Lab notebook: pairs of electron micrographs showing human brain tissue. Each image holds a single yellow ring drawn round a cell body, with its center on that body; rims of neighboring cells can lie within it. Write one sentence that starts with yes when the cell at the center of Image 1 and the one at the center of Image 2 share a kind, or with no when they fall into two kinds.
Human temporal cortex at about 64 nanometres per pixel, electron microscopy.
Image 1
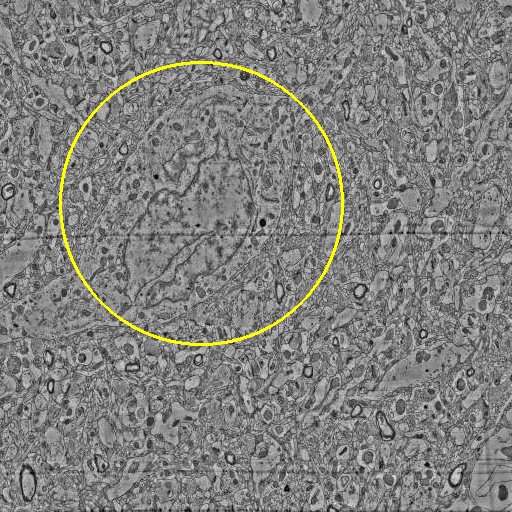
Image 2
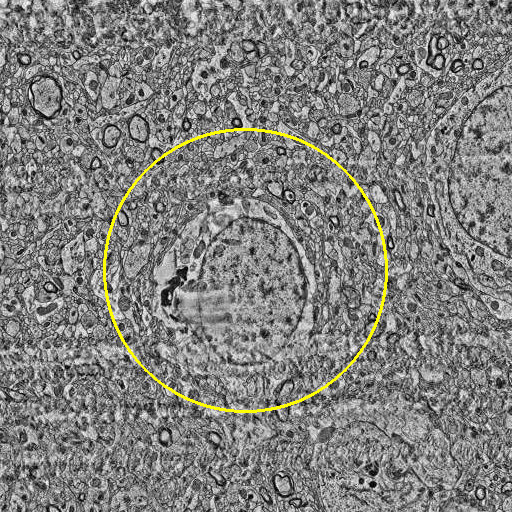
No, the centered cell in Image 1 and the centered cell in Image 2 are of two kinds.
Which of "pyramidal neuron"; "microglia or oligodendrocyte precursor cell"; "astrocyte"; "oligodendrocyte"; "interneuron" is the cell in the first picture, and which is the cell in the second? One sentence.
The two differ: the first cell is an interneuron and the second is an astrocyte.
